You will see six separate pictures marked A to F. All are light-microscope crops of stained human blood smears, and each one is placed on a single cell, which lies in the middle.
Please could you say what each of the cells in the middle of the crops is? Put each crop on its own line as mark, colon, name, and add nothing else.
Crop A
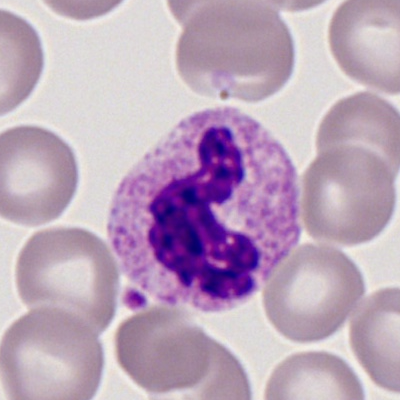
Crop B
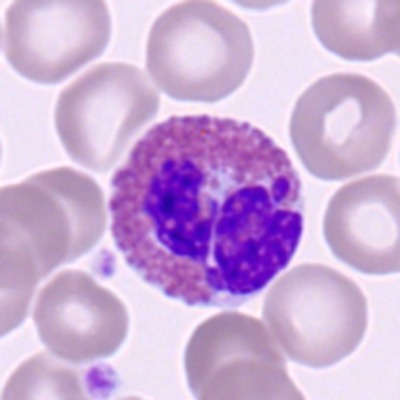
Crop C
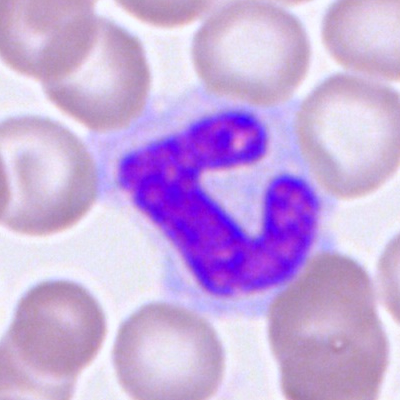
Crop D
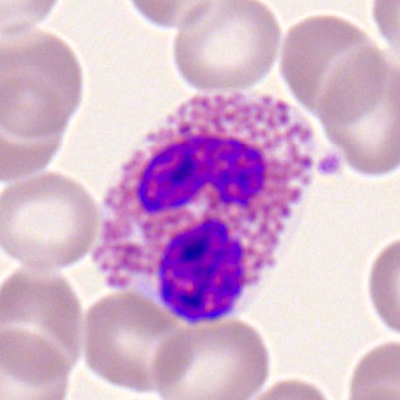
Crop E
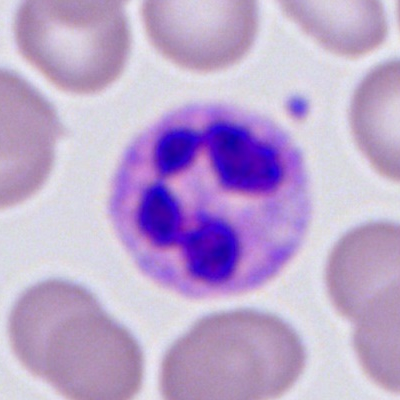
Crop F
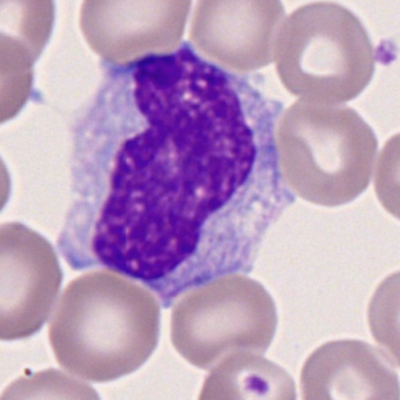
A: segmented neutrophil
B: eosinophil
C: monocyte
D: eosinophil
E: segmented neutrophil
F: monocyte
